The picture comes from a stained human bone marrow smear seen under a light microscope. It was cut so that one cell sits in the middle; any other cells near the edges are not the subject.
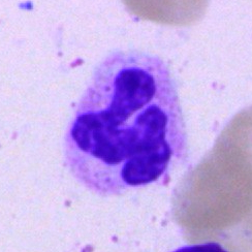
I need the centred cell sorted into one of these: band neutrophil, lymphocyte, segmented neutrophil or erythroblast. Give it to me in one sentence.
The central element of this crop is a cell, namely a segmented neutrophil.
